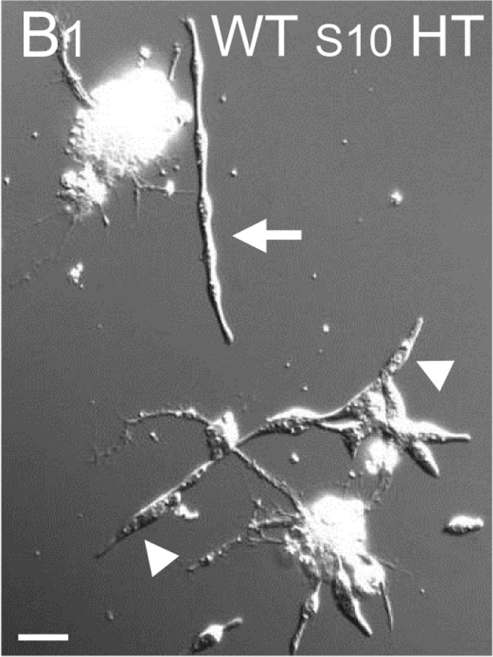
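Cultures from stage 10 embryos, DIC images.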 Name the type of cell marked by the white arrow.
Muscle cell.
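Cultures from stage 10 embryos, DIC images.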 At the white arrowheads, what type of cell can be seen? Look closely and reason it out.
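The arrowheads mark elongated, tapering cells.
Muscle cells.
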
